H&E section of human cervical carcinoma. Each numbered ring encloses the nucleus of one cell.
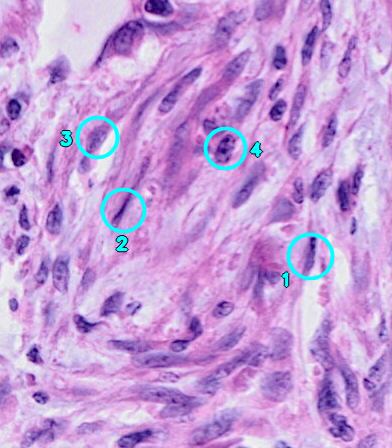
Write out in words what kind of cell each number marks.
Cell 1 is a fibroblast, cell 2 is a fibroblast, cell 3 is a fibroblast and cell 4 is a lymphocyte.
